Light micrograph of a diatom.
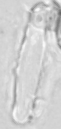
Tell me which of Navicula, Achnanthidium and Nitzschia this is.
The picture shows Achnanthidium.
